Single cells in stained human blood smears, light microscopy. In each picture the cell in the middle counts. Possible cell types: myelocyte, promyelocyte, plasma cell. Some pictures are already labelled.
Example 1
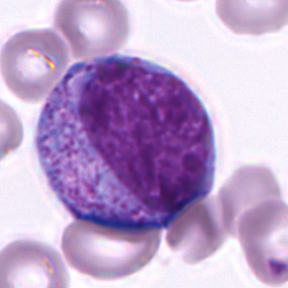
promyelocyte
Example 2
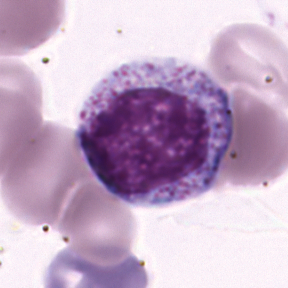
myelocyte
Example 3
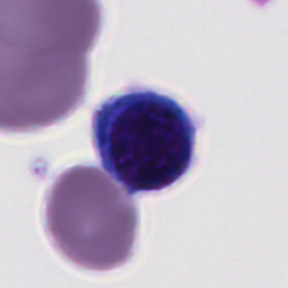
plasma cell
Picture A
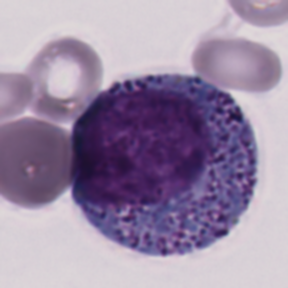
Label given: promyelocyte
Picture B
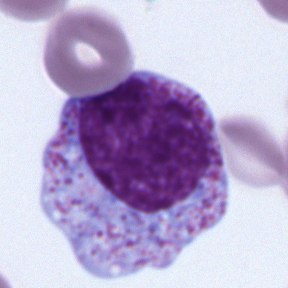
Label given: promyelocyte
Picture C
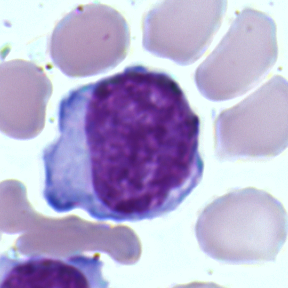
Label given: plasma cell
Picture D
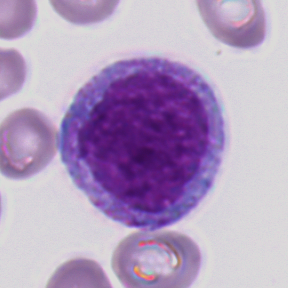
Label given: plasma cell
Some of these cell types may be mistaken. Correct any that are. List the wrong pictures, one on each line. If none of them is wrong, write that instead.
D is labelled plasma cell; correct label: promyelocyte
